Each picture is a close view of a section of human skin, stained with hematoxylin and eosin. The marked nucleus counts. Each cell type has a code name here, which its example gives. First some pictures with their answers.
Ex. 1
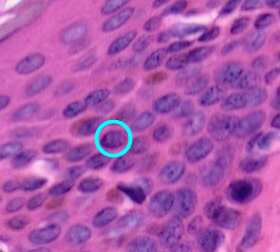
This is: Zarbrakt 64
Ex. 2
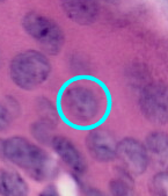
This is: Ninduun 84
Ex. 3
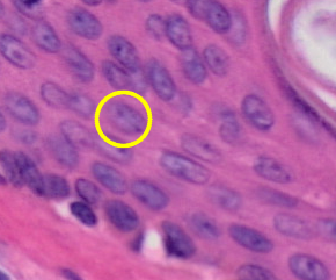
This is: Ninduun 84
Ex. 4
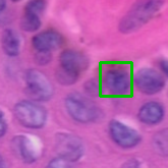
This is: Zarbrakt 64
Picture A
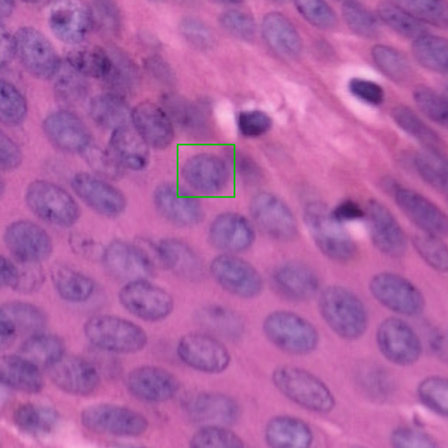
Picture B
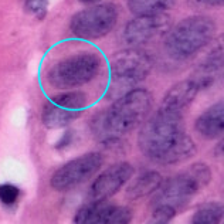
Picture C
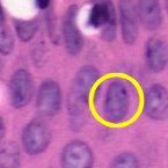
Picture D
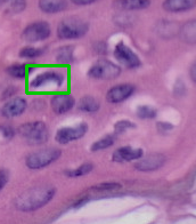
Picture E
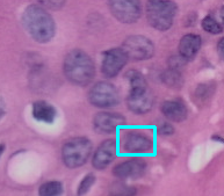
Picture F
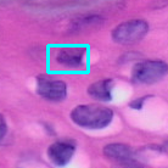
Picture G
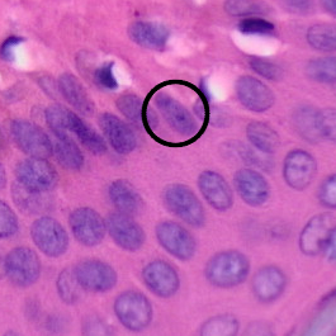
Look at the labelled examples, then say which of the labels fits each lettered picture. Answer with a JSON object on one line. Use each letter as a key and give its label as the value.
{"A": "Zarbrakt 64", "B": "Zarbrakt 64", "C": "Ninduun 84", "D": "Zarbrakt 64", "E": "Zarbrakt 64", "F": "Ninduun 84", "G": "Zarbrakt 64"}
